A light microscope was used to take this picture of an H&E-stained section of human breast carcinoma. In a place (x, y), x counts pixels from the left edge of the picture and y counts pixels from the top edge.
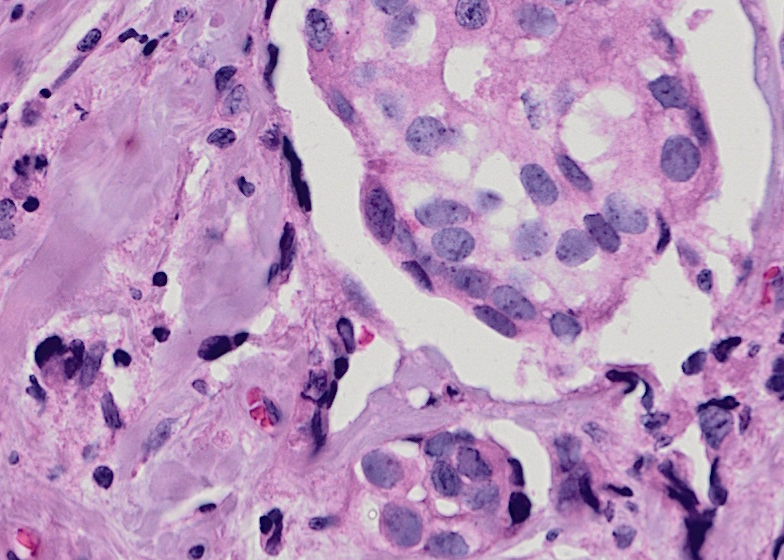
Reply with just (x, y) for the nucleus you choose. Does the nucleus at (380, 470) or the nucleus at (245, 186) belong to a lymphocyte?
(245, 186)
